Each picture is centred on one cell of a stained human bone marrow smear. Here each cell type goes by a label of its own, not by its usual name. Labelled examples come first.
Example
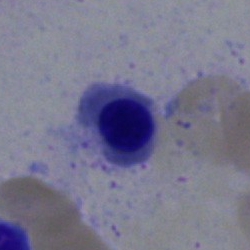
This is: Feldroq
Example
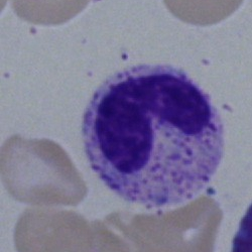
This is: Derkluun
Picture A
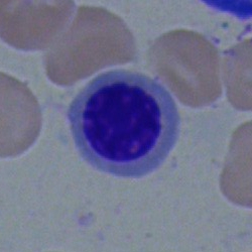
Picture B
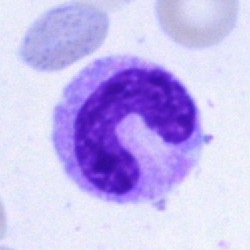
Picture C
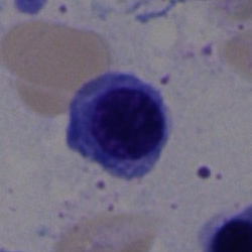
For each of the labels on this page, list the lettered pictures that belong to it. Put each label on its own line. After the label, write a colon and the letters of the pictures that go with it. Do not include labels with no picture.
Feldroq: A, C
Derkluun: B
